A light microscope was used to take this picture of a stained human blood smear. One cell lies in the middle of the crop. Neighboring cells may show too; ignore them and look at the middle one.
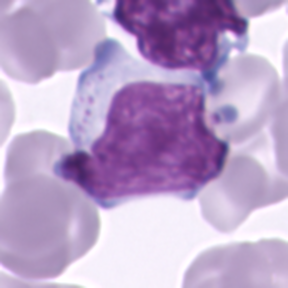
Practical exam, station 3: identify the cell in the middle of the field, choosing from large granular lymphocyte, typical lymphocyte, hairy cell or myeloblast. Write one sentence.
The target cell in the middle of the crop is a large granular lymphocyte.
